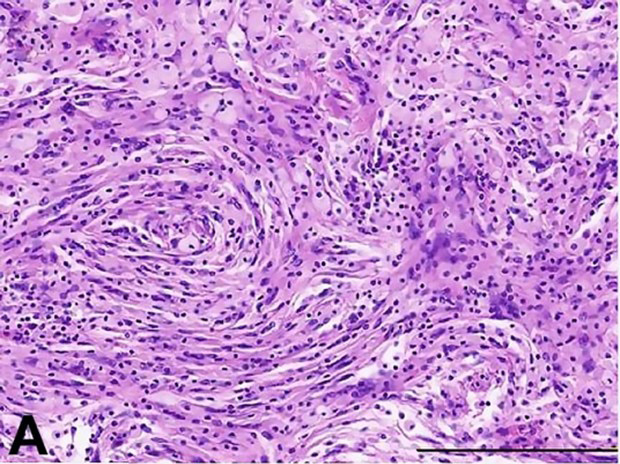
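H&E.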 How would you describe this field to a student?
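Meningothelial tissue with whorls and a heavy infiltrate of inflammatory cells. Between and around the whorls lie sheets of larger polygonal cells with abundant pale eosinophilic cytoplasm. Small cells with dark, round nuclei are densely scattered throughout, clustering in places between the whorls. The stroma is sparse and the cells are closely packed.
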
